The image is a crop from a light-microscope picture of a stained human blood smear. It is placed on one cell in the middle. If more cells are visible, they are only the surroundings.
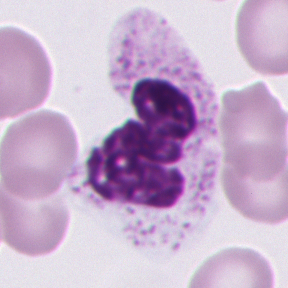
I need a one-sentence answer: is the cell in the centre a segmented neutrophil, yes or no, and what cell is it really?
Yes, the cell found in the center of the crop is a segmented neutrophil.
